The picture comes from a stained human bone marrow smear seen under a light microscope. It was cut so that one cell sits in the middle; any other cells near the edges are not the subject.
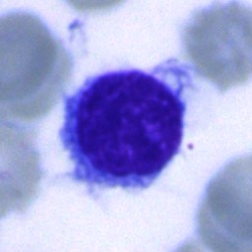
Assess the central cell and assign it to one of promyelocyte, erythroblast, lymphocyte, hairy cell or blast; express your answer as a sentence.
The cell positioned in the middle of the field is a hairy cell.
